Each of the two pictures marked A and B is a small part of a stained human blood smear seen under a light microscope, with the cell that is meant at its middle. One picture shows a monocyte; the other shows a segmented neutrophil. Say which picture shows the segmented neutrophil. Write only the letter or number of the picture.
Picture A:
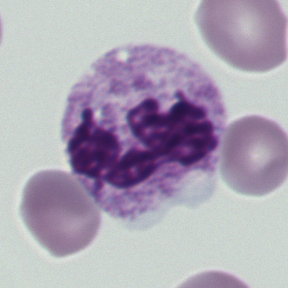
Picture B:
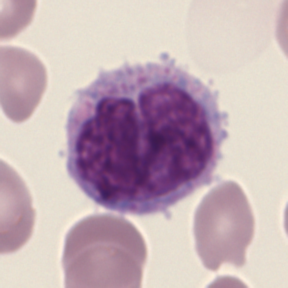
A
